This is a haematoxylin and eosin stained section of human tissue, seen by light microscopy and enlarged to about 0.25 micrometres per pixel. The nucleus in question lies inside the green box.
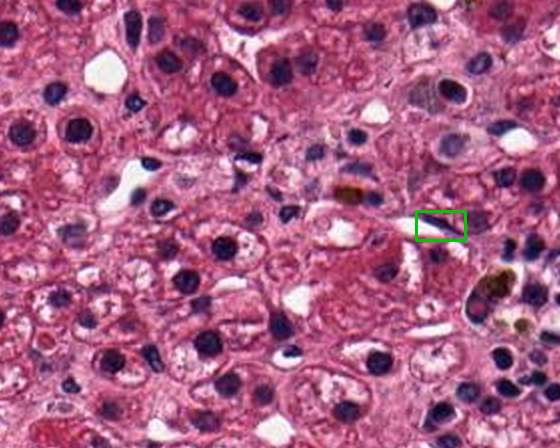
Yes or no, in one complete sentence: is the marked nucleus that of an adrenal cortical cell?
No, it is a supporting cell, not an adrenal cortical cell, to which the marked nucleus belongs.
